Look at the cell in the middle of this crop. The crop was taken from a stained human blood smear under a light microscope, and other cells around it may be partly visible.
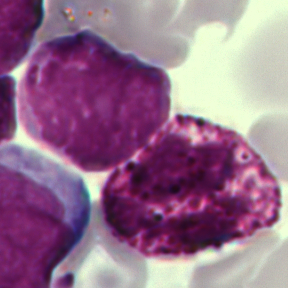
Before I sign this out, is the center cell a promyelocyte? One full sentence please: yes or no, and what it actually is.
No, looking at the central cell, it is a basophil rather than a promyelocyte.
